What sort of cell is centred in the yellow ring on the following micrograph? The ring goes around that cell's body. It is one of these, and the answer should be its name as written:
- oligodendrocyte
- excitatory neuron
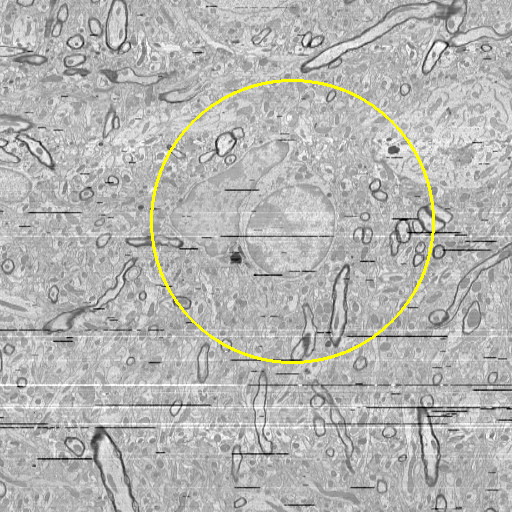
oligodendrocyte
